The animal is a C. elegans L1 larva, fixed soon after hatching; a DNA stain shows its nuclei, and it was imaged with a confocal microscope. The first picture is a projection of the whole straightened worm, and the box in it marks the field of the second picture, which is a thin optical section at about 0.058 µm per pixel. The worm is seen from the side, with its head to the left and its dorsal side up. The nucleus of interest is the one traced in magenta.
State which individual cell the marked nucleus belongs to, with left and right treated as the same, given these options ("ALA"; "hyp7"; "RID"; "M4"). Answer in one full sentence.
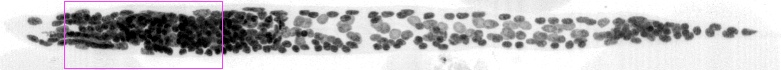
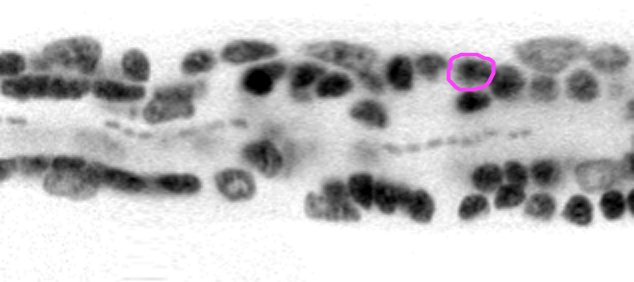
This is the nucleus of ALA, a neuron.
